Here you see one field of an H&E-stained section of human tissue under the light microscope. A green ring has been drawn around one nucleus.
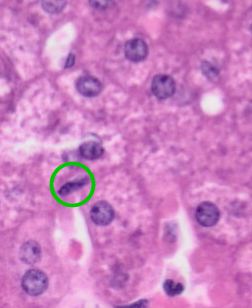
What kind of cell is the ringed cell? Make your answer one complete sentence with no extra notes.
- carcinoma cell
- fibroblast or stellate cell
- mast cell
In this preparation, the ringed cell is a fibroblast or stellate cell.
